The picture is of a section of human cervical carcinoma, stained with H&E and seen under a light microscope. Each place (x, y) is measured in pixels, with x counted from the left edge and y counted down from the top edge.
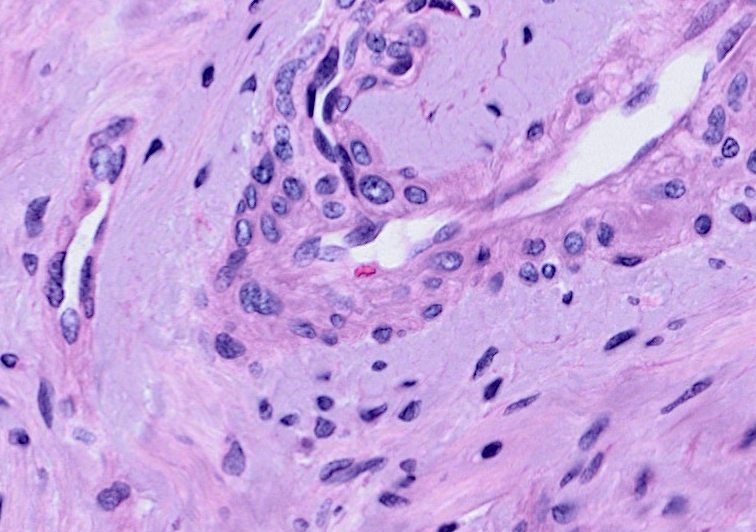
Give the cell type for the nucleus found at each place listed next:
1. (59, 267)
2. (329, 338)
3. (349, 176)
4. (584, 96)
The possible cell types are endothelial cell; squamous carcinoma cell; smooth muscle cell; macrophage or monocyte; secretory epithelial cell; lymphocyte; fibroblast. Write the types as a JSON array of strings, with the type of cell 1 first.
["endothelial cell", "smooth muscle cell", "endothelial cell", "smooth muscle cell"]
